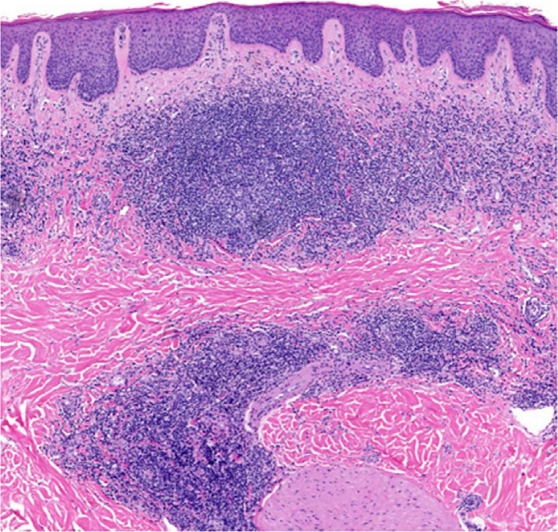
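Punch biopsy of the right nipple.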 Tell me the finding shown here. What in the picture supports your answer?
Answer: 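Dense purple nodular aggregates of small round cells sit in the upper dermis beneath the epidermis. A second aggregate lies deeper in the dermis among pink collagen bundles. The overlying epidermis is intact. That points to this answer: Dermal papillary and reticular nodular infiltrates of lymphocytes.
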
